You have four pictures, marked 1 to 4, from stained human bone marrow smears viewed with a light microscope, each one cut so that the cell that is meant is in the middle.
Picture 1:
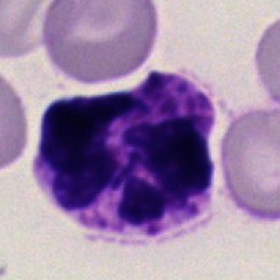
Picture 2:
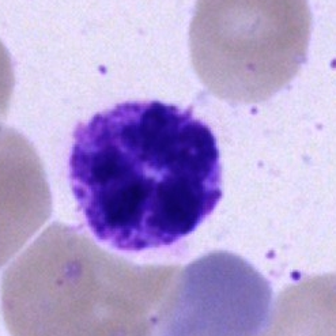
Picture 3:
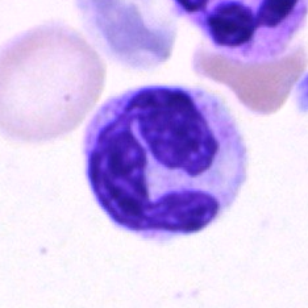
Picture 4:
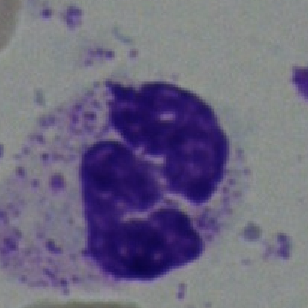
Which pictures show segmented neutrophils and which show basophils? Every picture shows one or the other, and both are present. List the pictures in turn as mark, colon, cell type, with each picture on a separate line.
1: basophil
2: basophil
3: segmented neutrophil
4: basophil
